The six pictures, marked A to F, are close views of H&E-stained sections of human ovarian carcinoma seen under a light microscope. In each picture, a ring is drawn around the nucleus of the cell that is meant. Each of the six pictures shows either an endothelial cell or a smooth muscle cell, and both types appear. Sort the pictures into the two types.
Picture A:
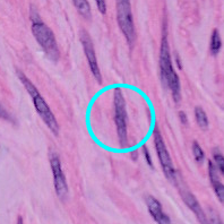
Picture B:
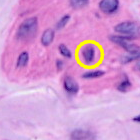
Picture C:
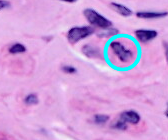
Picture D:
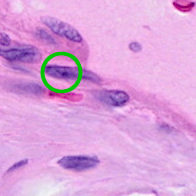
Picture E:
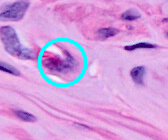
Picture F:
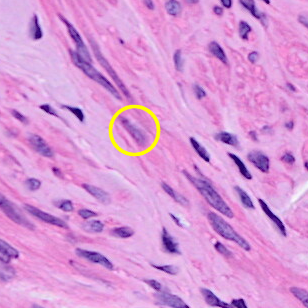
A: smooth muscle cell
B: smooth muscle cell
C: endothelial cell
D: endothelial cell
E: endothelial cell
F: smooth muscle cell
